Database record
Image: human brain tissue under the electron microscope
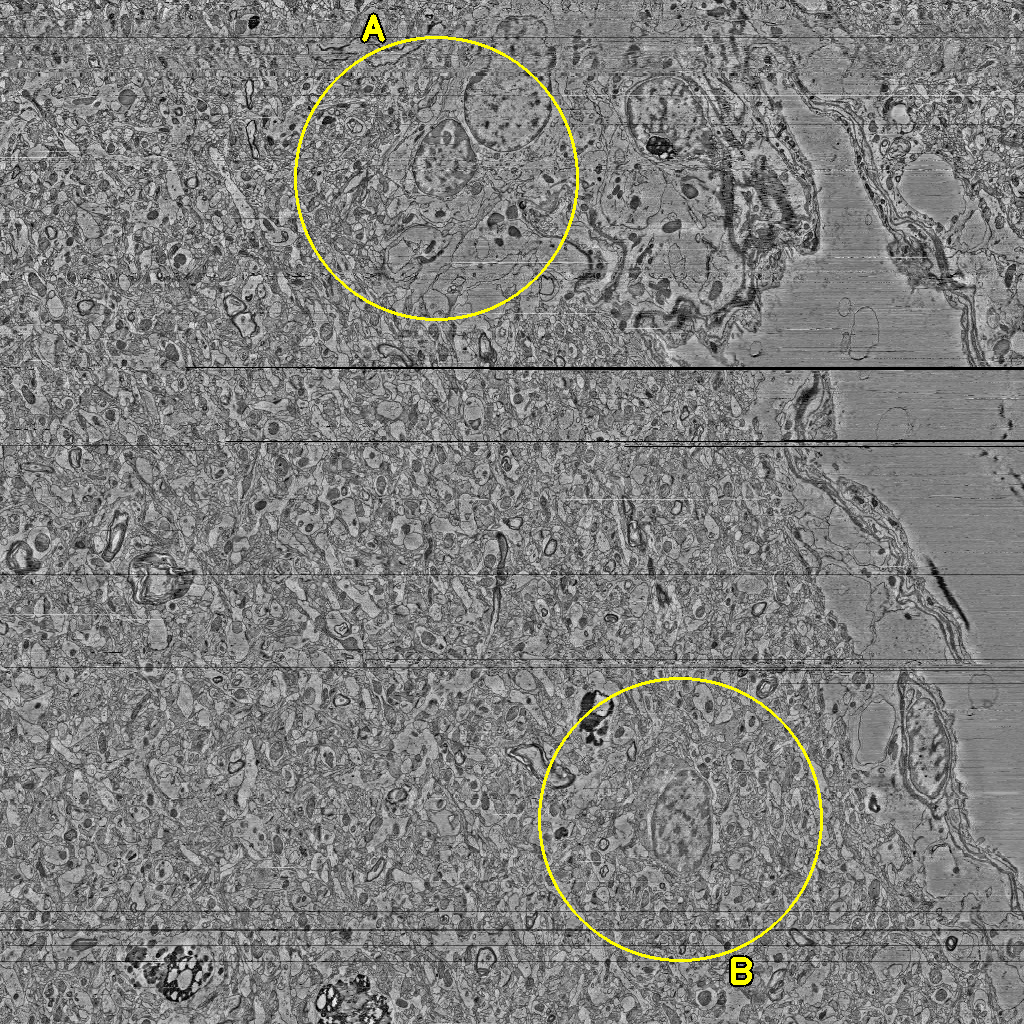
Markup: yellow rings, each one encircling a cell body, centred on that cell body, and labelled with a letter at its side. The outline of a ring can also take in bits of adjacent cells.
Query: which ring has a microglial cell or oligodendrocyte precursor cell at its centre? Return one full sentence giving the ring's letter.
In this image, that kind of cell lies at the centre of the ring labelled A.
